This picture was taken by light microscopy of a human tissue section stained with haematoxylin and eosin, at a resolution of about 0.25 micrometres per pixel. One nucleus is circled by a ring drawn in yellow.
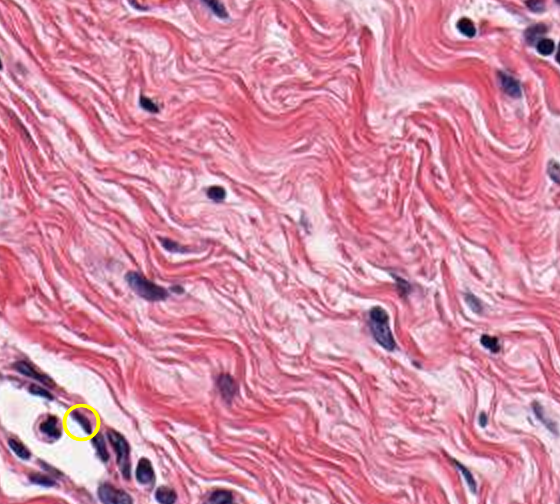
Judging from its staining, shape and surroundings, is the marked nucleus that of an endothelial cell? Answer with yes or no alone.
yes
